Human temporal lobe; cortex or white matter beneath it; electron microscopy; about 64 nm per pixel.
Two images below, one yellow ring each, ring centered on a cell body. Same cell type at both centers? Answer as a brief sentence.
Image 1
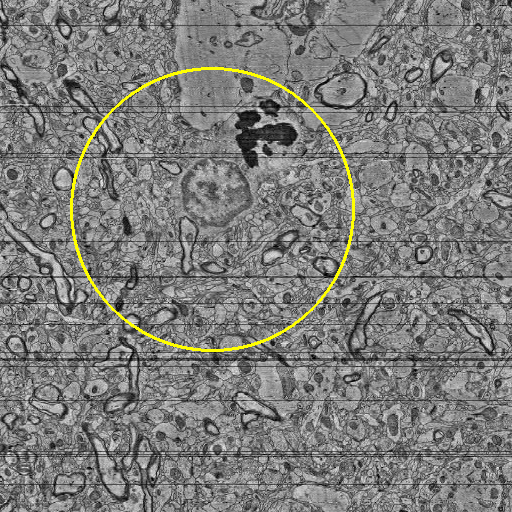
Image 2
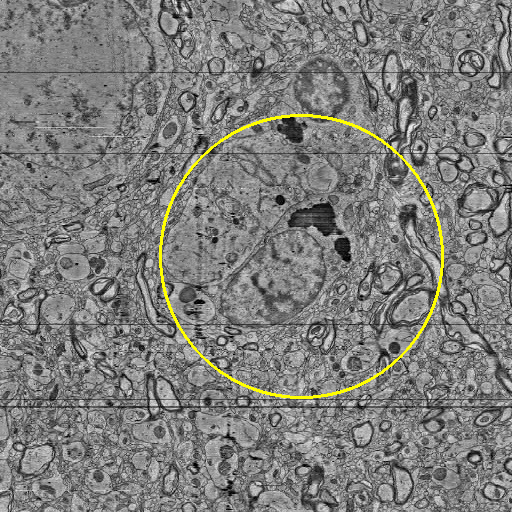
Yes, both cells are of the same type.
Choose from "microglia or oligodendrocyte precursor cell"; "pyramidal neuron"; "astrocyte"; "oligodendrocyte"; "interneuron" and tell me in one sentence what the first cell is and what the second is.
Each cell, in the first picture and the second, is an oligodendrocyte.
